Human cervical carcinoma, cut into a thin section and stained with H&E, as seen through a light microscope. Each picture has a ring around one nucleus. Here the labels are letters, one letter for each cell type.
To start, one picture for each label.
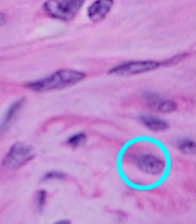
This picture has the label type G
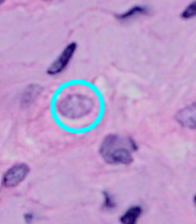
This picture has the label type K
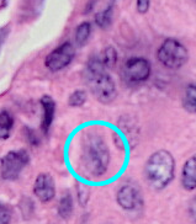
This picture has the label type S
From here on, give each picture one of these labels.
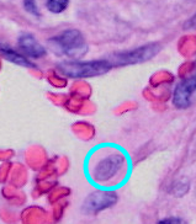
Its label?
type K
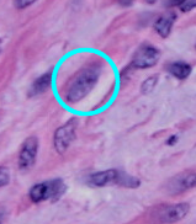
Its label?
type K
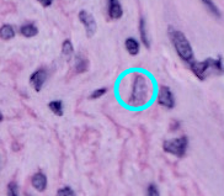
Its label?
type G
